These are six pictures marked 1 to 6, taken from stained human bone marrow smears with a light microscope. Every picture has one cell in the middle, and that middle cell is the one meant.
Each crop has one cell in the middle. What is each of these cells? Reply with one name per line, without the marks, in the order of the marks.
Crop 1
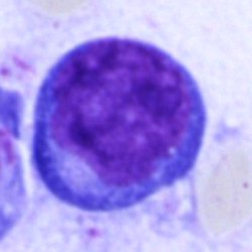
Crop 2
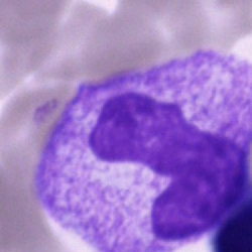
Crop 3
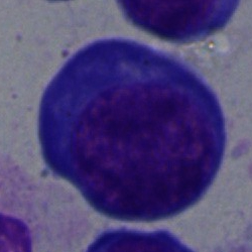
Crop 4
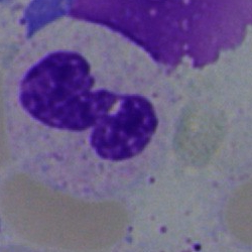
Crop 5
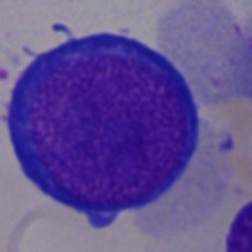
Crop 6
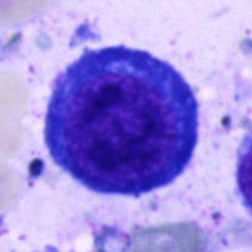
proerythroblast
band neutrophil
proerythroblast
segmented neutrophil
proerythroblast
proerythroblast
